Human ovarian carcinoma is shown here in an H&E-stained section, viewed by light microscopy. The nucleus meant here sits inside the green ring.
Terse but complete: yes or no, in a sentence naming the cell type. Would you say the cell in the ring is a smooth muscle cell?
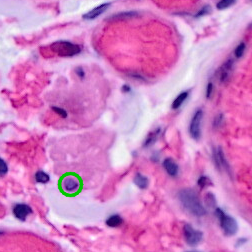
Yes, the claim that the cell in the ring is a smooth muscle cell holds true.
